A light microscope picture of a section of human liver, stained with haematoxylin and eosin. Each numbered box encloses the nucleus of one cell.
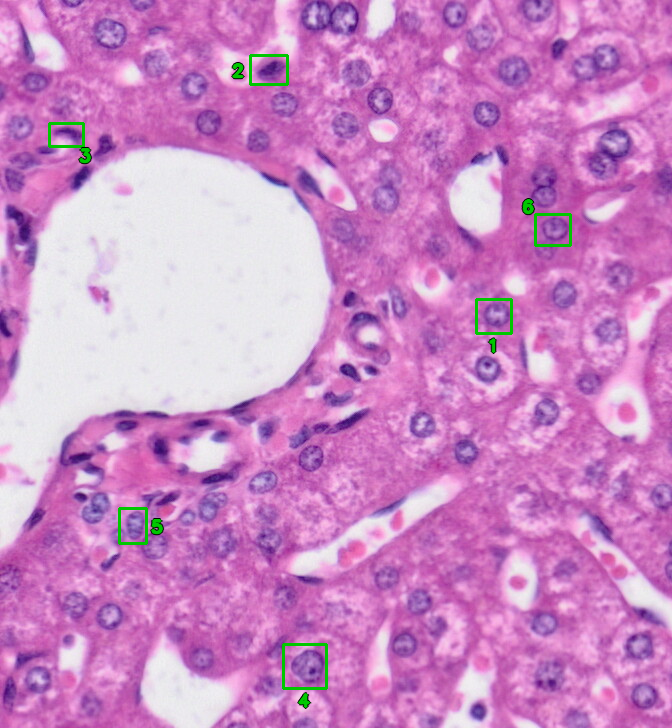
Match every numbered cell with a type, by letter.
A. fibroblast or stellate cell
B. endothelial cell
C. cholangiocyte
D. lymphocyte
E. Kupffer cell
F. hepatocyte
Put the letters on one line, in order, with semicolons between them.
F; E; A; F; C; F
